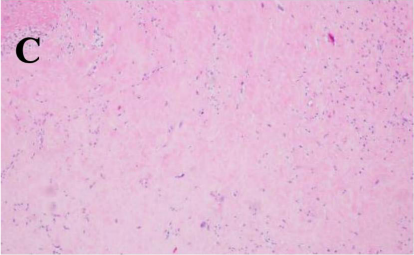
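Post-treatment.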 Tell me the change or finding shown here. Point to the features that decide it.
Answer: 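Broad areas of homogeneous, glassy pink material. Very few scattered nuclei.
Hyaline degeneration.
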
